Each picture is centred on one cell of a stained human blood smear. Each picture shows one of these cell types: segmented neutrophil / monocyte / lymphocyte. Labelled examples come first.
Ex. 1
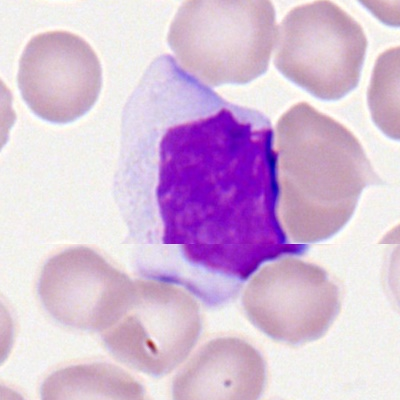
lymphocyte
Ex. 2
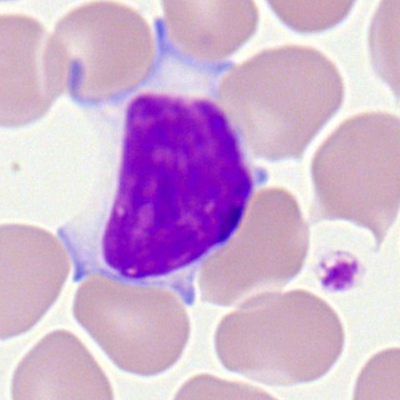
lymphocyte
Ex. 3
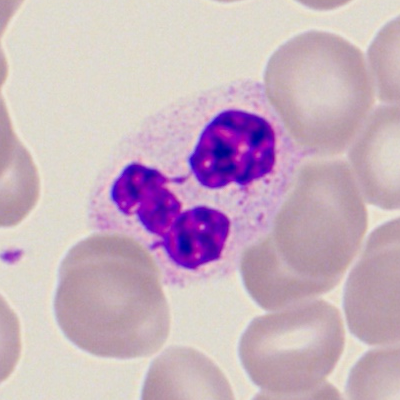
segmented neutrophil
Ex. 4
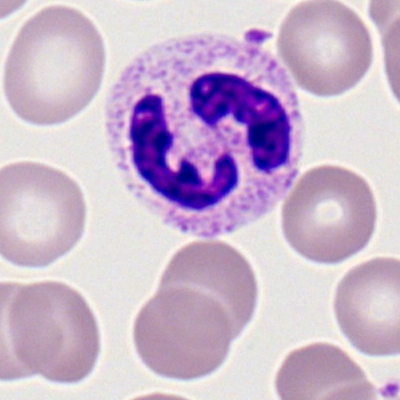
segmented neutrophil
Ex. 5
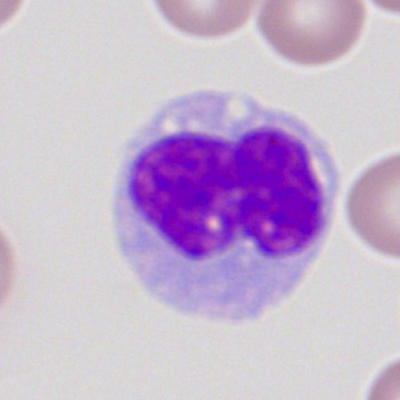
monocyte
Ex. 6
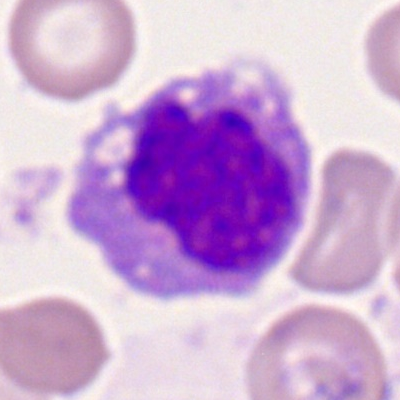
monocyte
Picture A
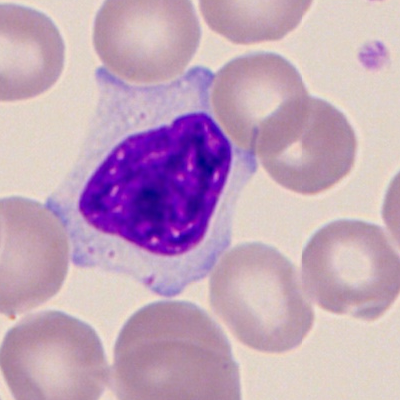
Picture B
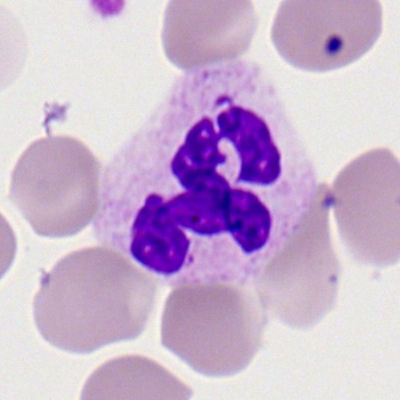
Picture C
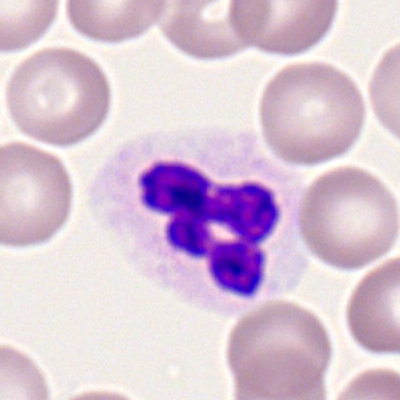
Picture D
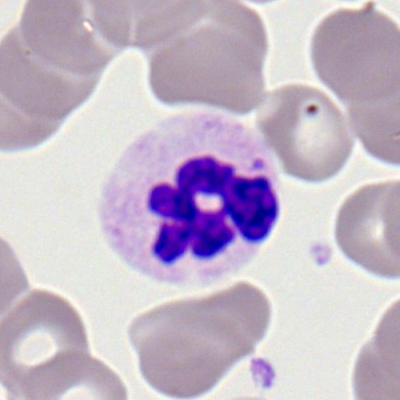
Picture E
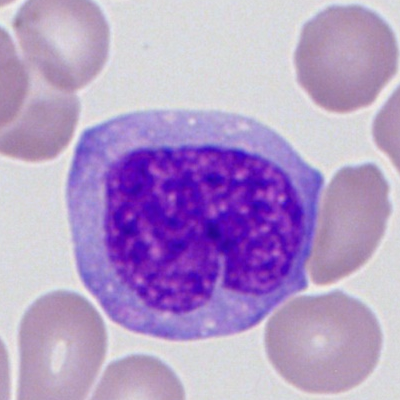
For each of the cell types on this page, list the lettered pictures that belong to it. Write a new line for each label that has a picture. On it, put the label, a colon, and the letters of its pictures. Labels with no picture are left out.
segmented neutrophil: B, C, D
monocyte: E
lymphocyte: A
